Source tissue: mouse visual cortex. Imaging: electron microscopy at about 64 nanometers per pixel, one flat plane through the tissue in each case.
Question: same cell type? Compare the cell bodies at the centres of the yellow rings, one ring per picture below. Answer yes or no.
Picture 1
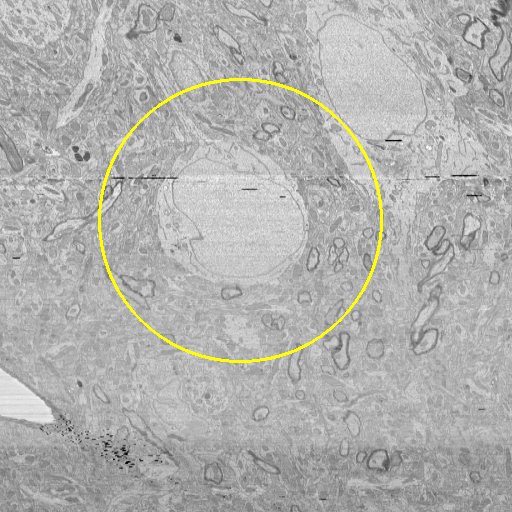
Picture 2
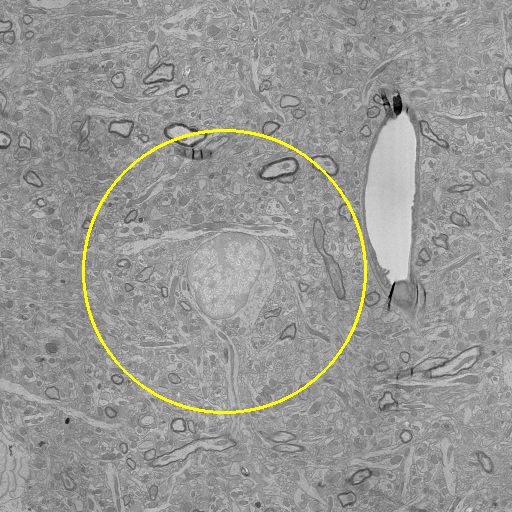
no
